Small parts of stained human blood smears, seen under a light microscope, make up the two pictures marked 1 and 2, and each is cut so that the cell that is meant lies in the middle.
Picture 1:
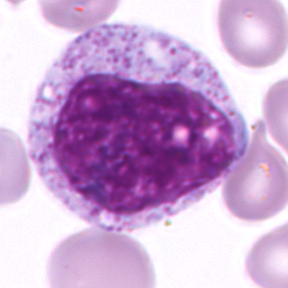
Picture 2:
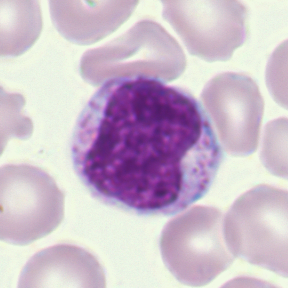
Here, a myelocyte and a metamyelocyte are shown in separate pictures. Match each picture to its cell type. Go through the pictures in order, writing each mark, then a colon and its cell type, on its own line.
1: myelocyte
2: metamyelocyte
